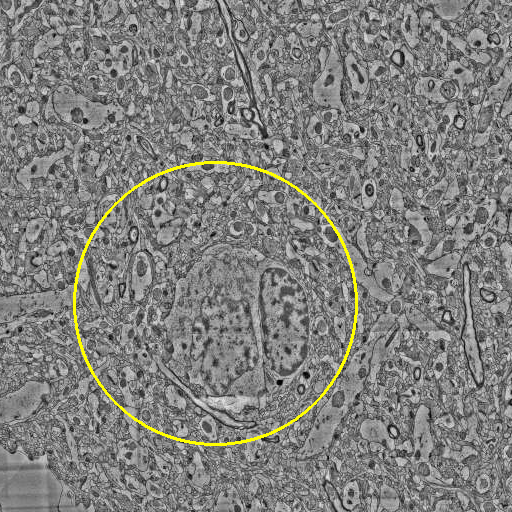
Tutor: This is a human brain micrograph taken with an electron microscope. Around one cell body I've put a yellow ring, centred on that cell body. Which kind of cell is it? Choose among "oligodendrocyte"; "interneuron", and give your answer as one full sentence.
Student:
Going by your list, the cell centred in the yellow ring is an interneuron.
